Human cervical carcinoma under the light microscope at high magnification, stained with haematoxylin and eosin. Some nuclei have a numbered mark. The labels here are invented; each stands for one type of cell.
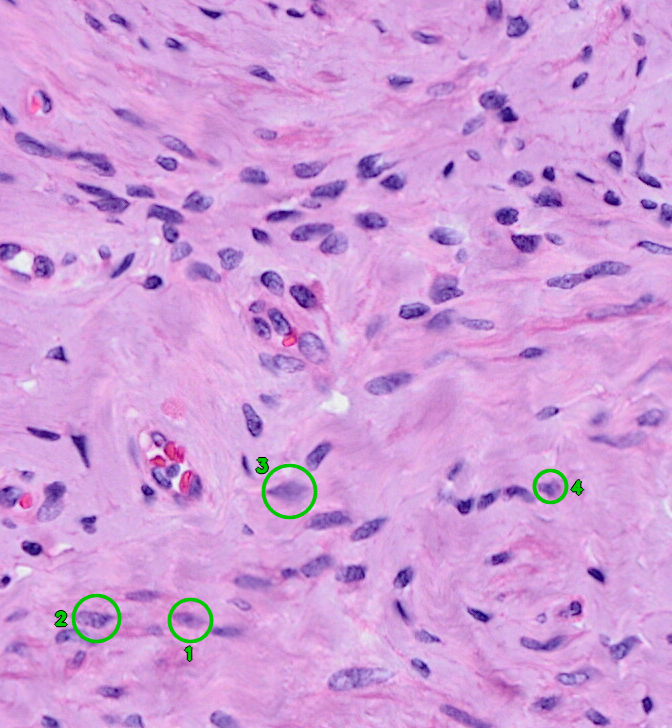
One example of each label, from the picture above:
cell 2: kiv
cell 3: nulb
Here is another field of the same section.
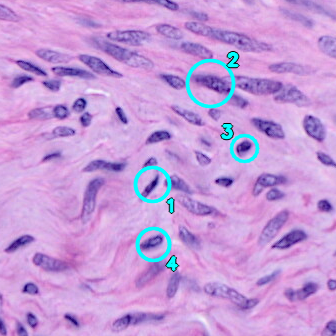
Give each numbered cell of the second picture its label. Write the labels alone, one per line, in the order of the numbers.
nulb
kiv
nulb
kiv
